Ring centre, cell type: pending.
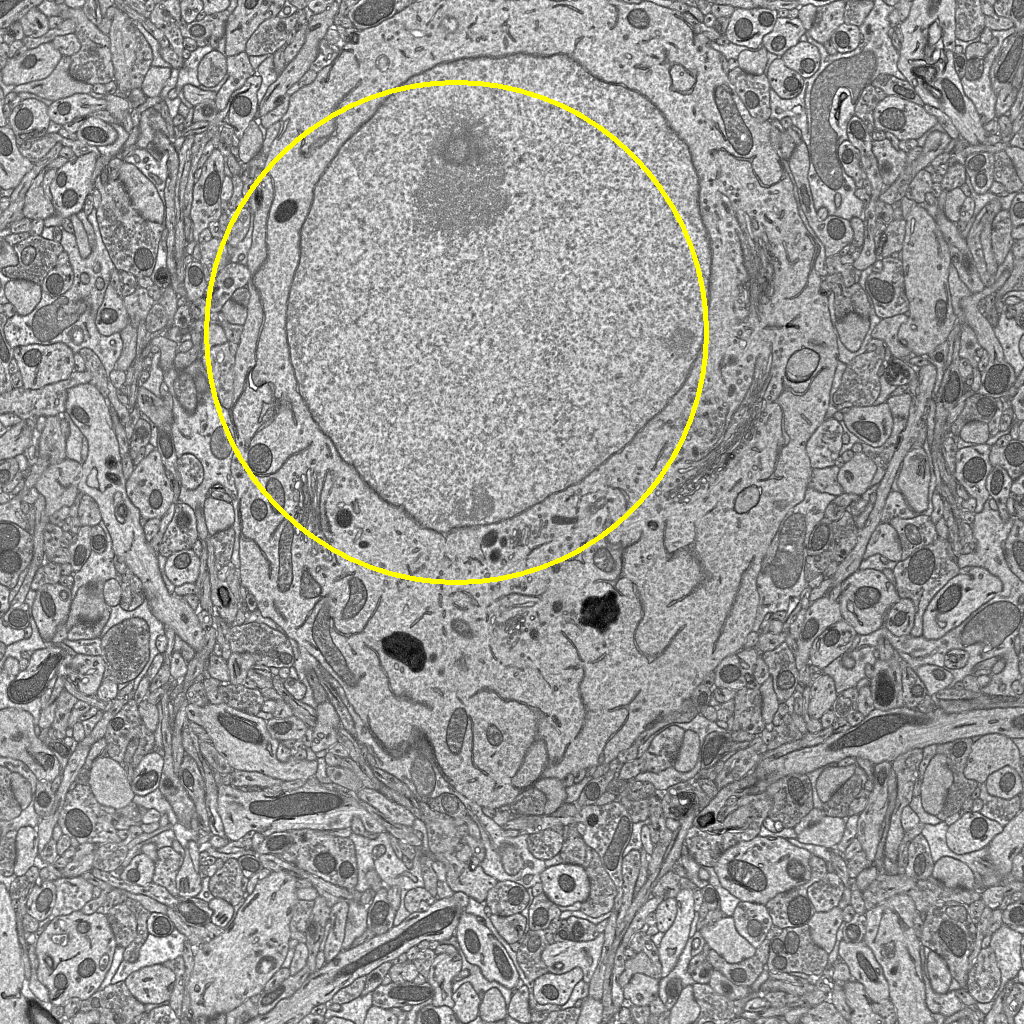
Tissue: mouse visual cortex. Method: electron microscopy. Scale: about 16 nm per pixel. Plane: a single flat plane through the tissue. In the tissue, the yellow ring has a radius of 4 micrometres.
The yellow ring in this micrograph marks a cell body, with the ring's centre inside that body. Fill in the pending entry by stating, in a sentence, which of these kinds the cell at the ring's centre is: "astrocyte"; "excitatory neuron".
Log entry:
The cell at the ring's centre is recorded as an excitatory neuron.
